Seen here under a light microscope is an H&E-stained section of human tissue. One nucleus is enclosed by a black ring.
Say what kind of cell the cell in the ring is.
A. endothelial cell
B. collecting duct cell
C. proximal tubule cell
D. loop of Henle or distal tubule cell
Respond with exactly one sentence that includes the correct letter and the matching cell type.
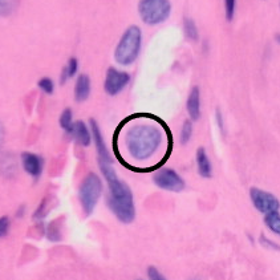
Best answer: option B, with the cell in the ring being a collecting duct cell.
